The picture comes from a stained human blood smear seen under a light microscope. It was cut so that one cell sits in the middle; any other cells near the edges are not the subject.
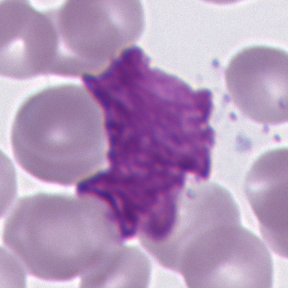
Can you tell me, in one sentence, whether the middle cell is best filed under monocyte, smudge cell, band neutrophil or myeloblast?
The centrally positioned cell in the crop represents a smudge cell.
